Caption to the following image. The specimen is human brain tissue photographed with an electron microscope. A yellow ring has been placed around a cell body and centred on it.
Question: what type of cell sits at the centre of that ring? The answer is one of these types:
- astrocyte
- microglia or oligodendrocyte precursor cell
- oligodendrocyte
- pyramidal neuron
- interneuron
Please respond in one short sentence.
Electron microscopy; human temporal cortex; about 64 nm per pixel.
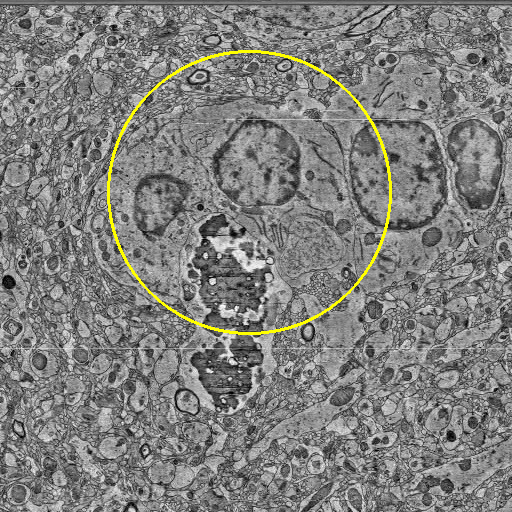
The ring surrounds the cell body of an astrocyte.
